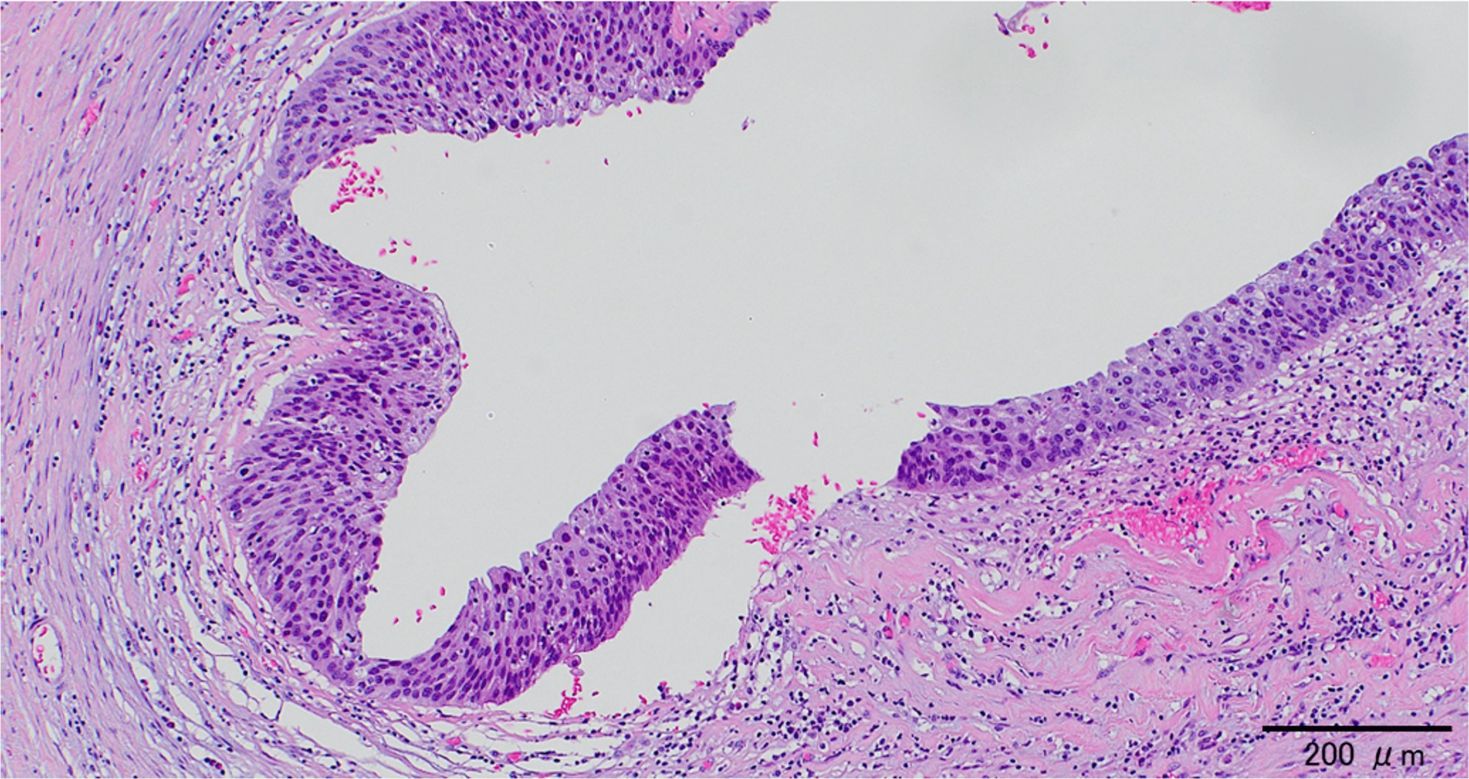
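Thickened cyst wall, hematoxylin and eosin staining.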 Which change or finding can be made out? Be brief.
Atypical cells throughout the entire epithelial thickness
